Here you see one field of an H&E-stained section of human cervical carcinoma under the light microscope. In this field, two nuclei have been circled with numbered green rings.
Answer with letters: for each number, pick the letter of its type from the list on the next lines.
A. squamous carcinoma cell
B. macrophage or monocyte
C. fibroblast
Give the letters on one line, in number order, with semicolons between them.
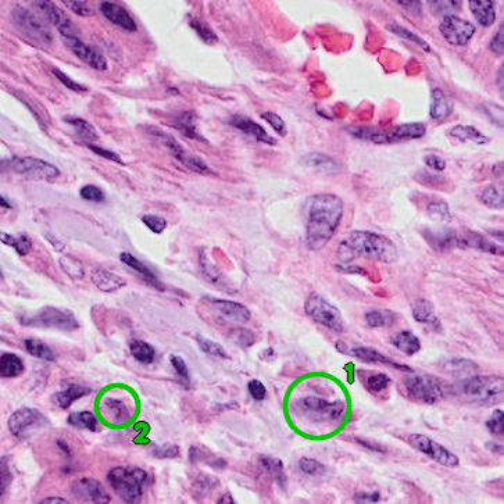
C; B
